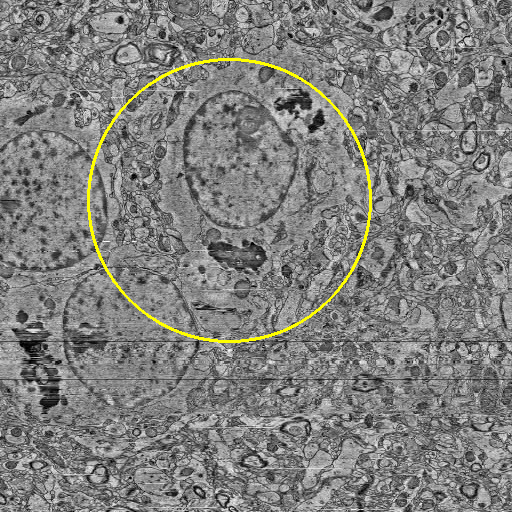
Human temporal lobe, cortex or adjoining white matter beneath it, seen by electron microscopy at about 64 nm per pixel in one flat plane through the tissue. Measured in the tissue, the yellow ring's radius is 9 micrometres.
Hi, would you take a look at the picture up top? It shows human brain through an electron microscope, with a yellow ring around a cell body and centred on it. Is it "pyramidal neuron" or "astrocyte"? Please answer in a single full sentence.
The best fit for the cell in the middle of the ring is an astrocyte, I reckon.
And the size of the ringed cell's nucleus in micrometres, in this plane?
In this plane the nucleus is about 9 micrometres by 7.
